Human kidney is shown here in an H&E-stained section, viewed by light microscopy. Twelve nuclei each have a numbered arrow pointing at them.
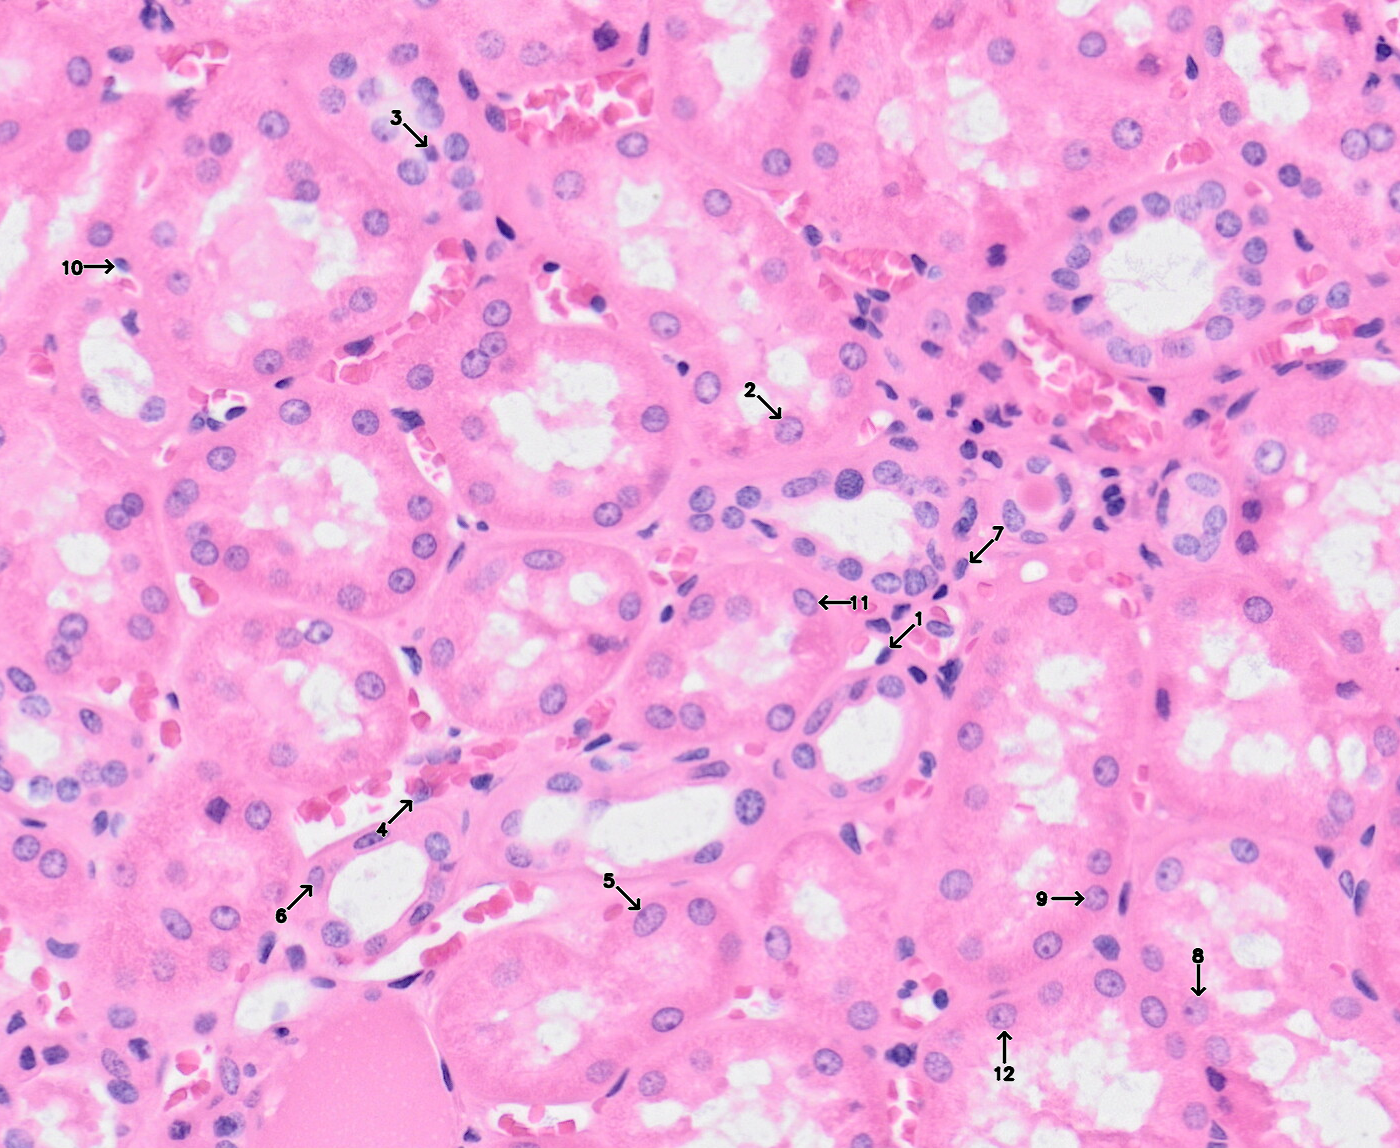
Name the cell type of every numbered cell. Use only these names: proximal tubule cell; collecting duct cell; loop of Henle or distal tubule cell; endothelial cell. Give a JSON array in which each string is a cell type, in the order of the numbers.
["endothelial cell", "proximal tubule cell", "loop of Henle or distal tubule cell", "endothelial cell", "proximal tubule cell", "collecting duct cell", "endothelial cell", "proximal tubule cell", "proximal tubule cell", "endothelial cell", "proximal tubule cell", "proximal tubule cell"]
